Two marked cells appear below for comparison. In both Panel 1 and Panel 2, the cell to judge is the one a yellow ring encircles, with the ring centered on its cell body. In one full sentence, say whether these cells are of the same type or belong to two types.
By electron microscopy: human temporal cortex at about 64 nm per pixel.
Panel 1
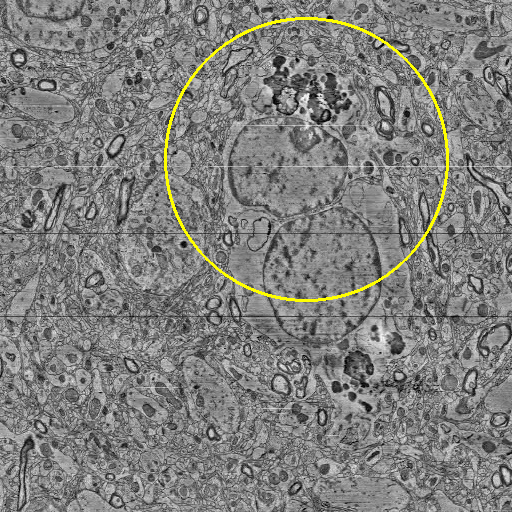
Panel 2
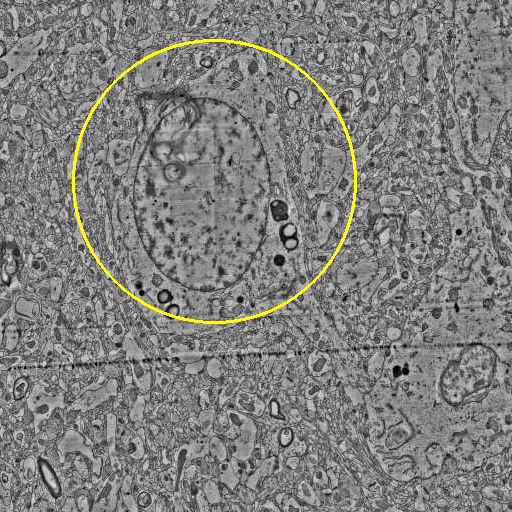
The cell centered in the Panel 1 ring and the one in Panel 2 belong to two types.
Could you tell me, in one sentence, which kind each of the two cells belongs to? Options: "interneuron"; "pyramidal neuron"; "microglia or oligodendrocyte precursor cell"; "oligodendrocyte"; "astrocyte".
At the centre of the first ring sits an astrocyte, and at the centre of the second sits a pyramidal neuron.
